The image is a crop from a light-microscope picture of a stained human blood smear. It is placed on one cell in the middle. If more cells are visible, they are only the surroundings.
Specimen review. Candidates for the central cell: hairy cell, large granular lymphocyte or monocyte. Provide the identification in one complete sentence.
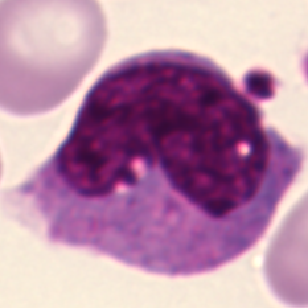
Answering briefly, the cell in the middle is a monocyte.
